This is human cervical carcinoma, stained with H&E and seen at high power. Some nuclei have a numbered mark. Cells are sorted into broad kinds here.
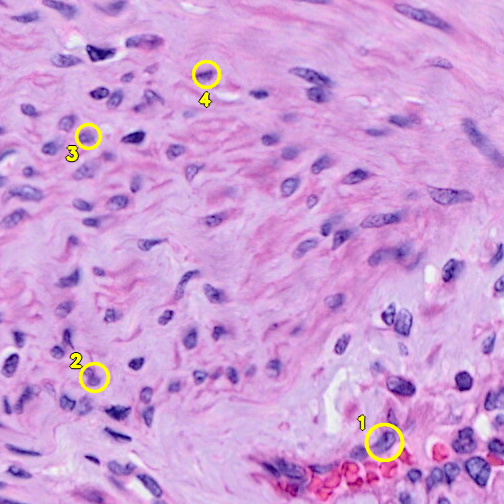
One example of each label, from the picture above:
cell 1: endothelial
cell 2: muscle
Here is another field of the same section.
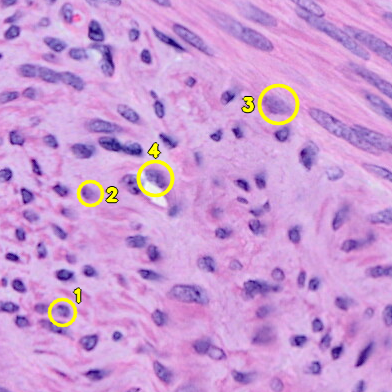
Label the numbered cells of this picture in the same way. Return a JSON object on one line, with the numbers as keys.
{"1": "muscle", "2": "muscle", "3": "muscle", "4": "endothelial"}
